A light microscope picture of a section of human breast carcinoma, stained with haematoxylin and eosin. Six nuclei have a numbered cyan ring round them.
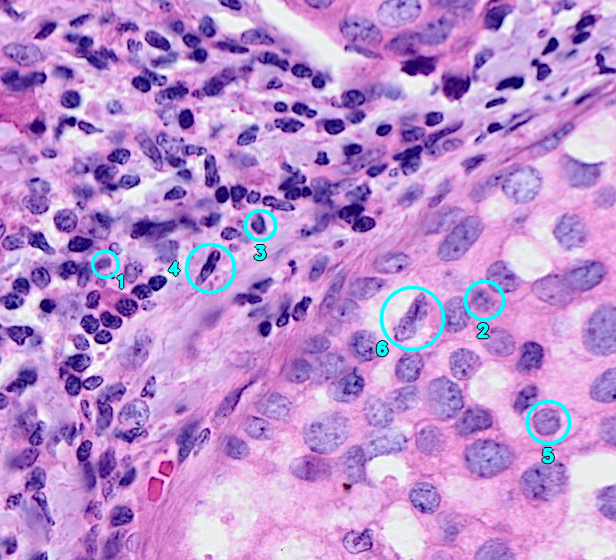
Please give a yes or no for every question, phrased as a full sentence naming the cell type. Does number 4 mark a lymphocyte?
Yes, the cell whose number is 4 is a lymphocyte.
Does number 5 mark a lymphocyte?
No, the cell labelled 5 is a carcinoma cell and not a lymphocyte.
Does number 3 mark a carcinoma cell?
No, cell 3, which is a lymphocyte, is not a carcinoma cell.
